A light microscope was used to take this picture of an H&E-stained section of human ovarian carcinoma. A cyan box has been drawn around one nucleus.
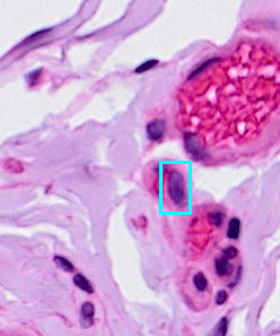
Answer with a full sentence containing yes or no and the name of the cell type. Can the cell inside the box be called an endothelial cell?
Yes, the cell inside the box is rightly regarded as an endothelial cell.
